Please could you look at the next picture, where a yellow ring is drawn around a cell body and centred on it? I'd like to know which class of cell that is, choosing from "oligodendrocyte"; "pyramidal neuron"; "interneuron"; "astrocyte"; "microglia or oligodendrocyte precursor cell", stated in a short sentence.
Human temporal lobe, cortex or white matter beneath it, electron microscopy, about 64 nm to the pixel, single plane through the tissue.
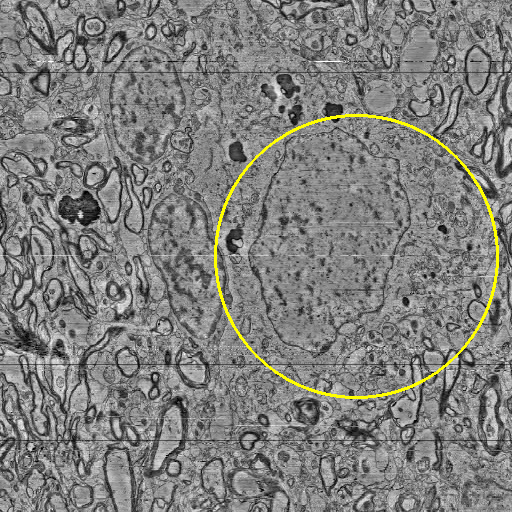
The ring's centre lies on a pyramidal neuron.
